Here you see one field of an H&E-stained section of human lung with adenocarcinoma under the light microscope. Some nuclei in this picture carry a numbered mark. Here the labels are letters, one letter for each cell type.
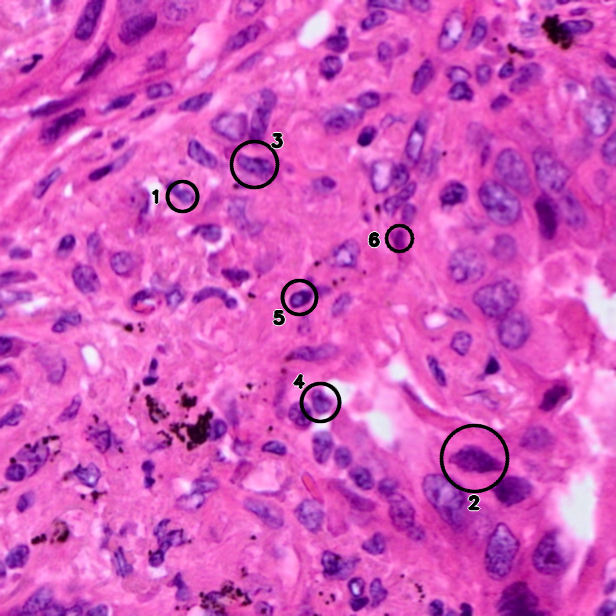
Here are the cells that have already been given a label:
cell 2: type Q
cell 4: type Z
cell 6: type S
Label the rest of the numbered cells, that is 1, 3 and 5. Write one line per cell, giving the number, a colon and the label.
1: type Z
3: type S
5: type Z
